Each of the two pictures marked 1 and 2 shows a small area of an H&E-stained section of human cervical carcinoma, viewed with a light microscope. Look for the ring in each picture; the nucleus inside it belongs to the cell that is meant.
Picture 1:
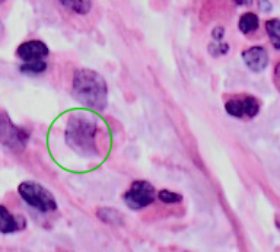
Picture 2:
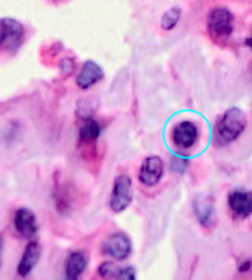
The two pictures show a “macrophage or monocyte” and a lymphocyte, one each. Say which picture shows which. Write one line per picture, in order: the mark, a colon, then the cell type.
1: macrophage or monocyte
2: lymphocyte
